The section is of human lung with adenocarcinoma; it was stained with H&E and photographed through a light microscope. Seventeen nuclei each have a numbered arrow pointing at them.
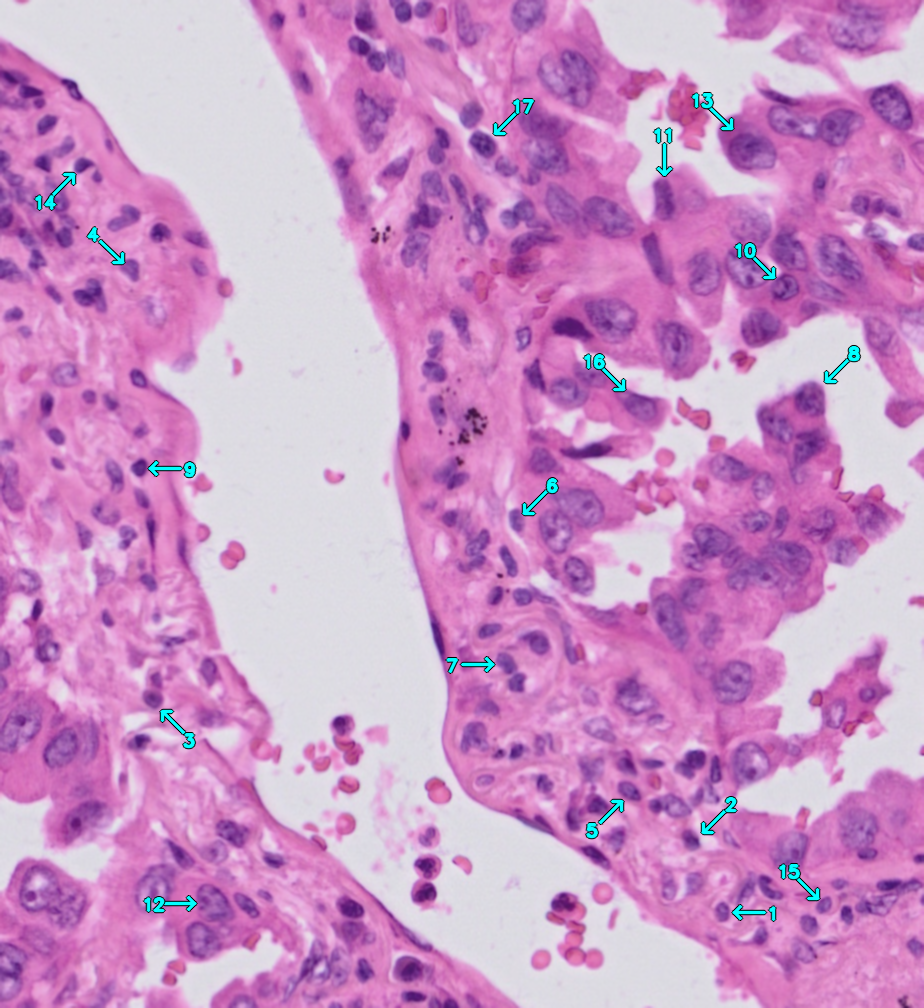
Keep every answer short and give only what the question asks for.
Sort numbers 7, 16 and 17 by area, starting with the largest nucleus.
16, 17, 7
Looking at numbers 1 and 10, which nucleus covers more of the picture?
10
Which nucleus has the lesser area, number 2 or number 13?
2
